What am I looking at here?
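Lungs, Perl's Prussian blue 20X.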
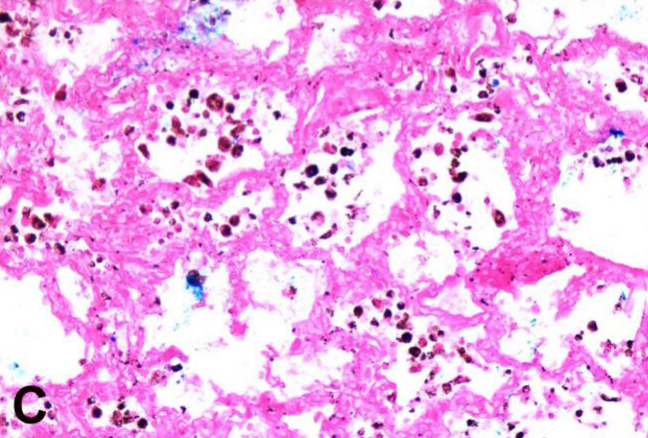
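Pink alveolar walls outline air spaces that hold many rounded cells packed with coarse dark brown granules, and a few blue deposits are scattered around. The pigmented cells sit free within the air spaces rather than in the walls.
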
